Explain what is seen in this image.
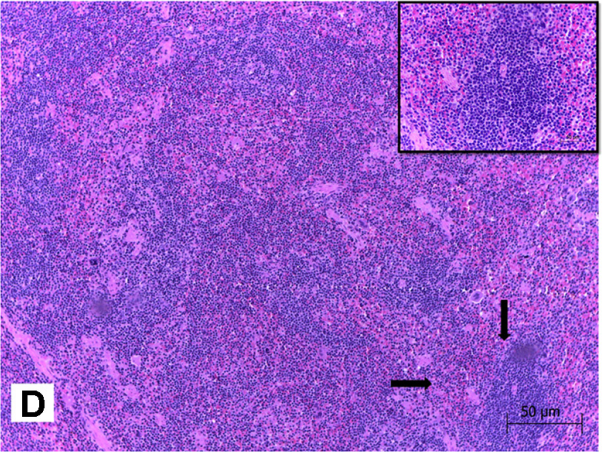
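This section of spleen shows white pulp, seen as dense dark blue lymphoid follicles of small round lymphocytes. The follicles lie within pinker red pulp that is rich in red blood cells.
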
